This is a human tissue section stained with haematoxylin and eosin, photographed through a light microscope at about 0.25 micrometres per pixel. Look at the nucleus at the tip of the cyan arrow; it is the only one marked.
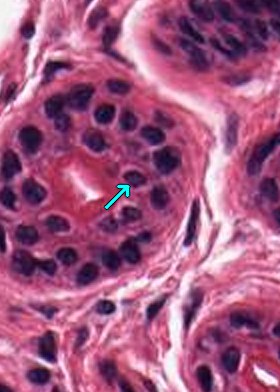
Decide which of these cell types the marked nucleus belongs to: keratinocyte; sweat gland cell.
sweat gland cell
